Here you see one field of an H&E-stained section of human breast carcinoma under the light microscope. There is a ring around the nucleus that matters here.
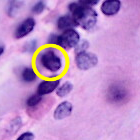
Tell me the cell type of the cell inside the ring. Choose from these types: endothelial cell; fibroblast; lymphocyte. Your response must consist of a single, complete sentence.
In the stained section, the cell inside the ring is a lymphocyte.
